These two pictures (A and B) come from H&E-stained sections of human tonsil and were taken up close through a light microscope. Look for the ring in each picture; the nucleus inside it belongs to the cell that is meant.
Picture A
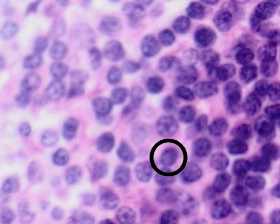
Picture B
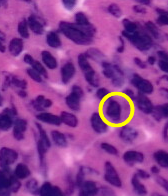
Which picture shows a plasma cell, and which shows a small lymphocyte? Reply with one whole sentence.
It is picture A that shows a small lymphocyte, and picture B that shows a plasma cell.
